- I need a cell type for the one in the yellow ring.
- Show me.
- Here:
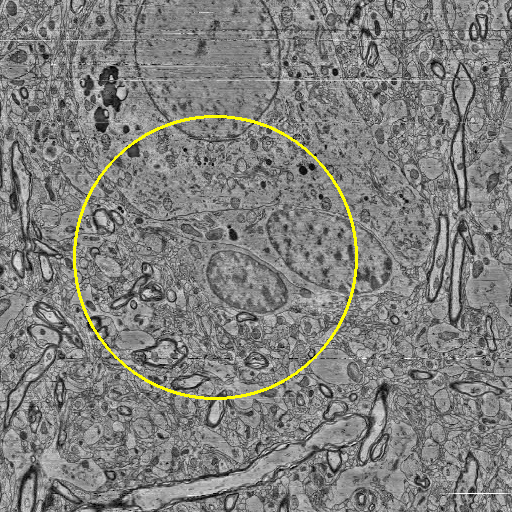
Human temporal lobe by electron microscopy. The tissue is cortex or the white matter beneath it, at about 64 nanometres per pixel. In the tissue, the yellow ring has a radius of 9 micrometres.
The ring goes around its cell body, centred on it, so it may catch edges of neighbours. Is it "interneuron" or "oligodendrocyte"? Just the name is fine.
oligodendrocyte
